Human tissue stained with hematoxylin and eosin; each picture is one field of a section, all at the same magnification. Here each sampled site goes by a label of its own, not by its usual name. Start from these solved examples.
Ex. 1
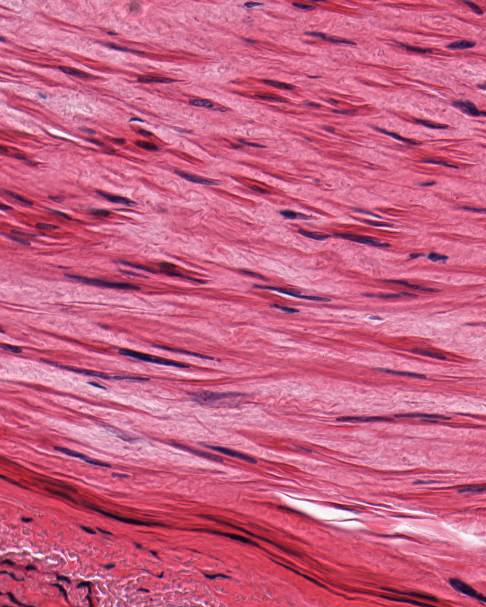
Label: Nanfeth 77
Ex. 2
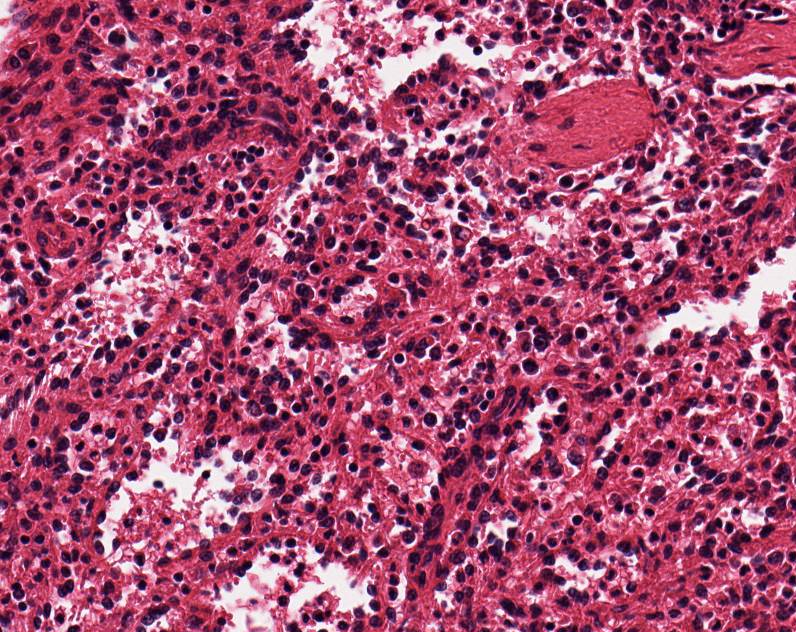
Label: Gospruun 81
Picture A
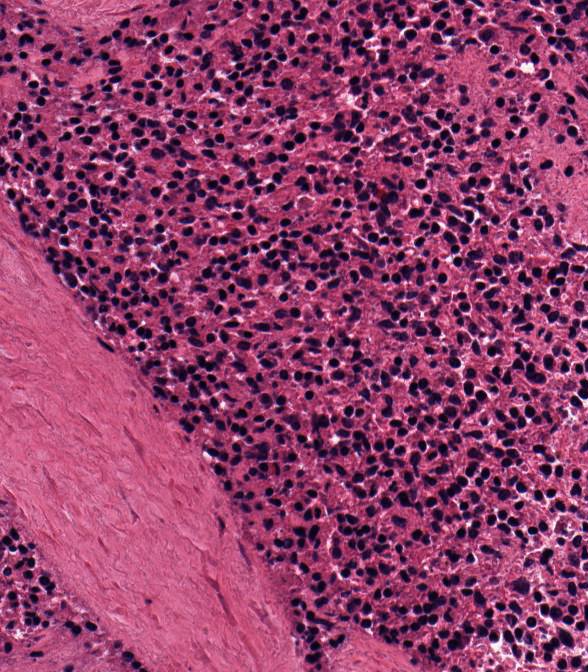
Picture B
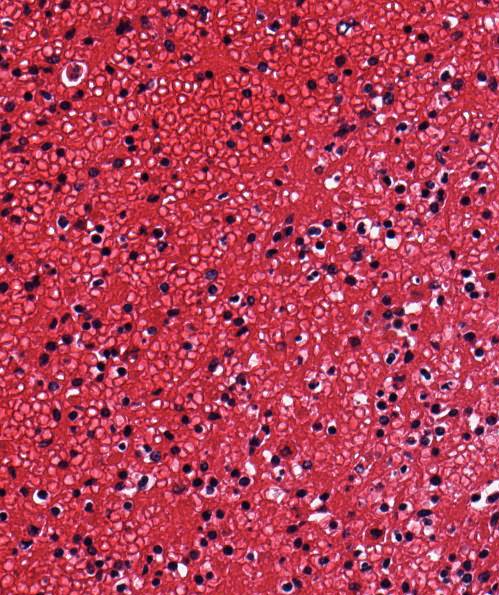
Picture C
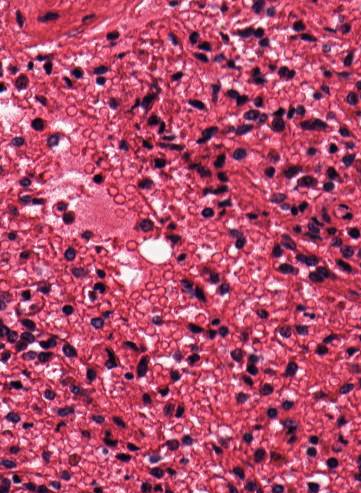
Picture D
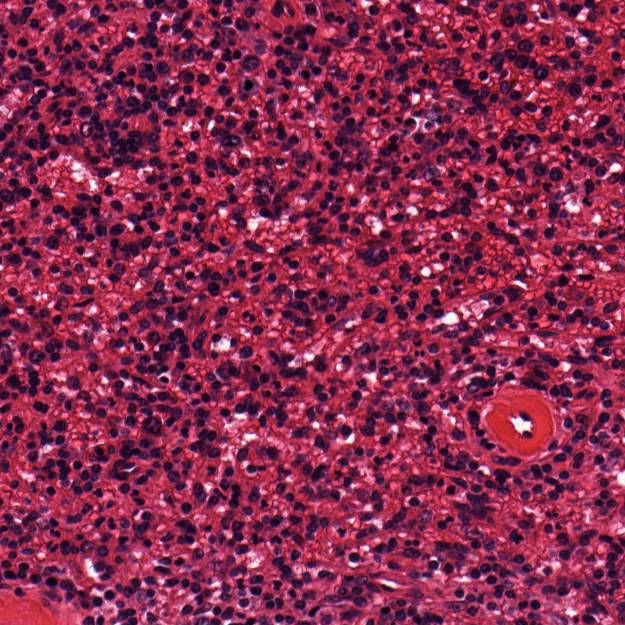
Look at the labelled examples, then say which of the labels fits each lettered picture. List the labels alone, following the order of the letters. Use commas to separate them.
Gospruun 81, Gospruun 81, Gospruun 81, Gospruun 81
